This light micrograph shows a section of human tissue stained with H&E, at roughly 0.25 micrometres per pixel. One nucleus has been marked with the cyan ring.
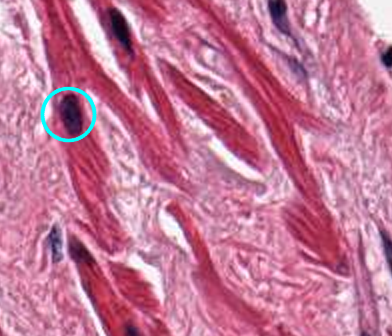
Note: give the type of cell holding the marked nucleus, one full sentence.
As shown, the marked nucleus belongs to a cardiomyocyte.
